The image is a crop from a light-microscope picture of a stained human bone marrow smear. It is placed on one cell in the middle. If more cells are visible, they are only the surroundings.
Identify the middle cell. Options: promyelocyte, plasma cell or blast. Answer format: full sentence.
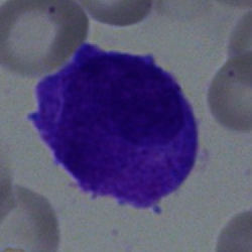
Whatever else lies nearby, the middle cell is a blast.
